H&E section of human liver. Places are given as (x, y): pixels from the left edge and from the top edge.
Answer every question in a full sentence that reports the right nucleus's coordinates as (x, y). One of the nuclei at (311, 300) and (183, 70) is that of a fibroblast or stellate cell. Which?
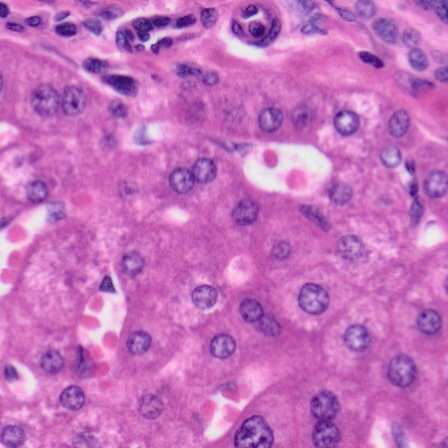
It is at (183, 70) that the nucleus of a fibroblast or stellate cell is found.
